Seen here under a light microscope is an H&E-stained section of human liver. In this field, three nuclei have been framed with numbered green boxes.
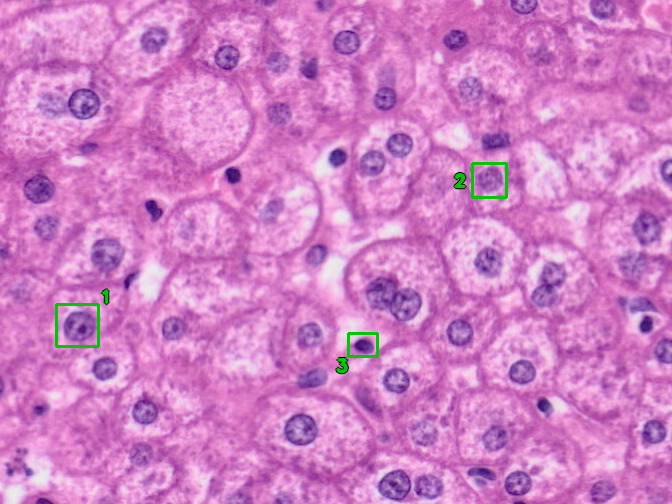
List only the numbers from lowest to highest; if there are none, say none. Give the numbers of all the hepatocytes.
1, 2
